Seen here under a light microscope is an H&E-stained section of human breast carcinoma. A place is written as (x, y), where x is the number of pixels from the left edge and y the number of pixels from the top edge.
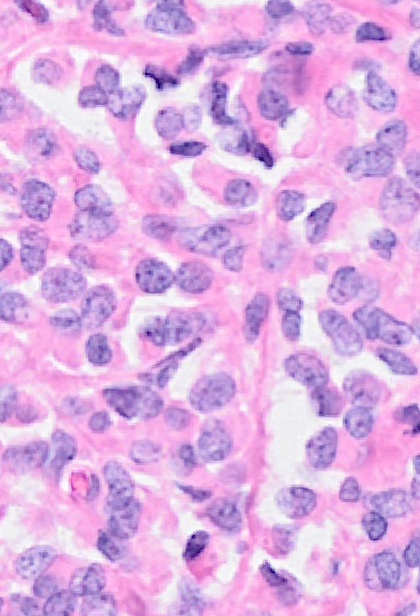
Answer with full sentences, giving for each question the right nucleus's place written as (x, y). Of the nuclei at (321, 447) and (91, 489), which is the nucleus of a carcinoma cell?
Of the two nuclei, the one at (321, 447) belongs to a carcinoma cell.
